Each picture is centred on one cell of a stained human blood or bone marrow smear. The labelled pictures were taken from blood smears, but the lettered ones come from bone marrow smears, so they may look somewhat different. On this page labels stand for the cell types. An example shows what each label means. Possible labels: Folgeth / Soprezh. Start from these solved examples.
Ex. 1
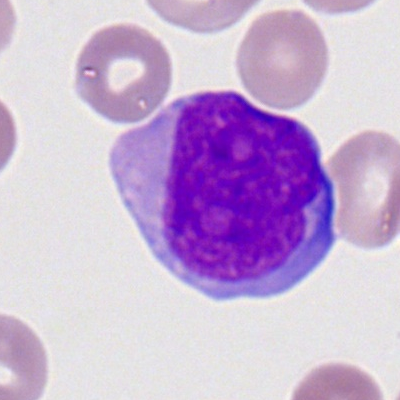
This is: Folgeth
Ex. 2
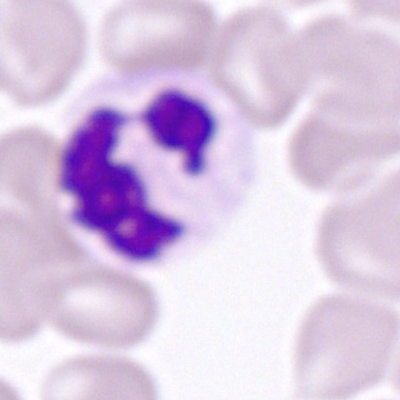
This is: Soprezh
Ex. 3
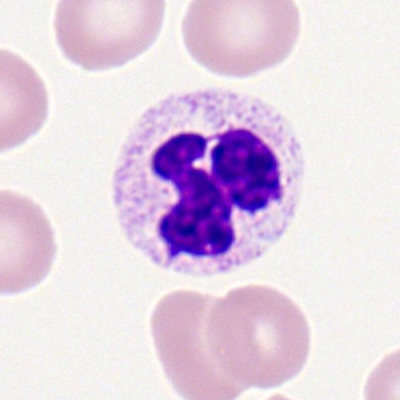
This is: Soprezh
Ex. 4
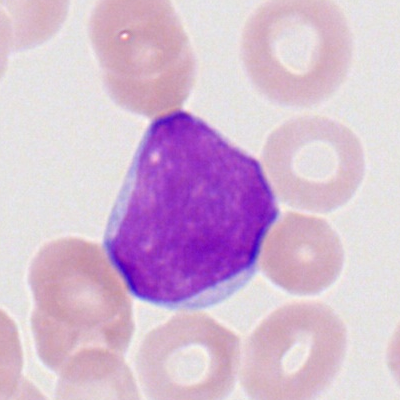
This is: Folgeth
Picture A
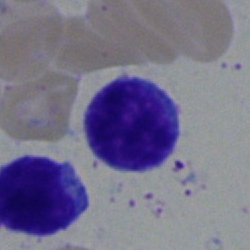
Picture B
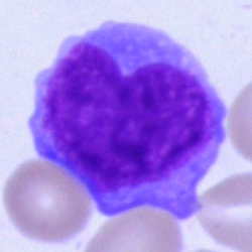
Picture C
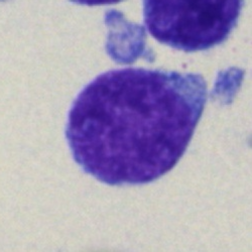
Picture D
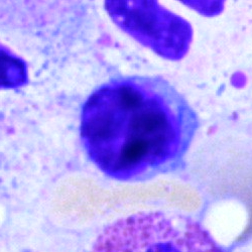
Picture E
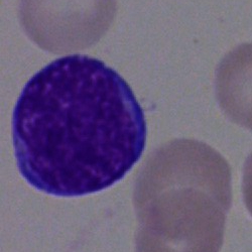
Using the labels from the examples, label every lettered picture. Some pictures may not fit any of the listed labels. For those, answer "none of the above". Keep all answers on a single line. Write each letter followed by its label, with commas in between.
A none of the above, B Folgeth, C Folgeth, D none of the above, E Folgeth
